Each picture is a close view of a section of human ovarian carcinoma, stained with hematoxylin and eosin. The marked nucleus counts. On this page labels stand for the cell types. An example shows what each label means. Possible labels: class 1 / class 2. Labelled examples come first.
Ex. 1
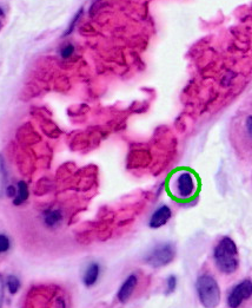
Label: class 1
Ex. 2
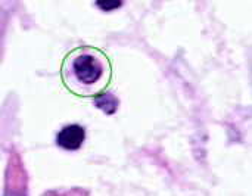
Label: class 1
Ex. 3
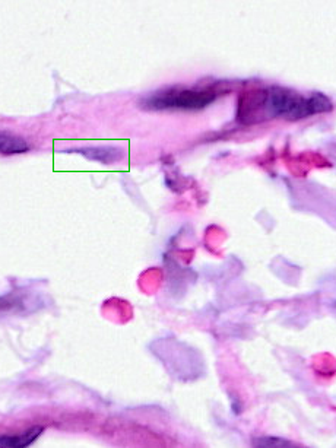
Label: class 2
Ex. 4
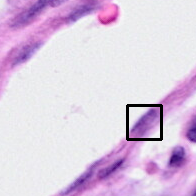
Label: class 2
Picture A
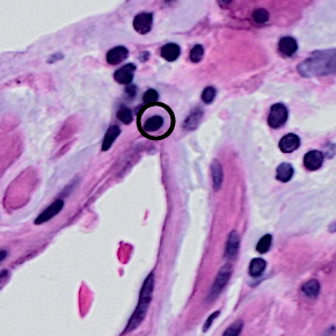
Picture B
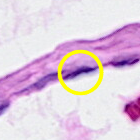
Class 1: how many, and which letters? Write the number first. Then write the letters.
1, namely A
